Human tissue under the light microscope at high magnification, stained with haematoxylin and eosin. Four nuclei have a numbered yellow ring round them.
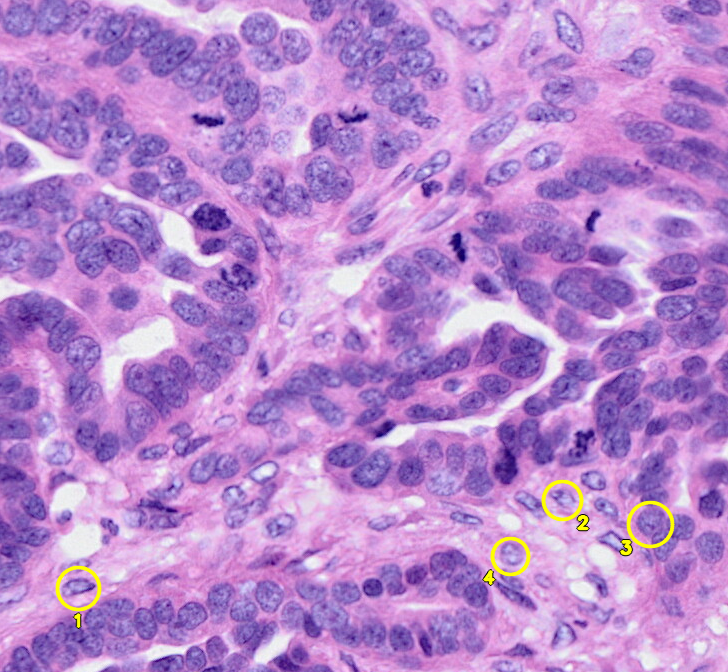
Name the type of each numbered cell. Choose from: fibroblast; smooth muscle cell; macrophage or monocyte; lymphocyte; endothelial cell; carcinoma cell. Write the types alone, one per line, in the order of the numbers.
fibroblast
fibroblast
carcinoma cell
fibroblast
